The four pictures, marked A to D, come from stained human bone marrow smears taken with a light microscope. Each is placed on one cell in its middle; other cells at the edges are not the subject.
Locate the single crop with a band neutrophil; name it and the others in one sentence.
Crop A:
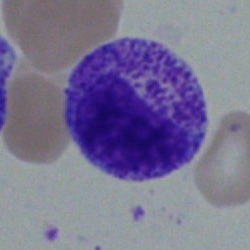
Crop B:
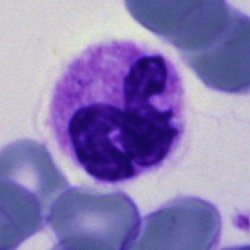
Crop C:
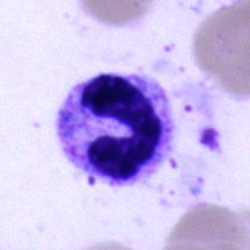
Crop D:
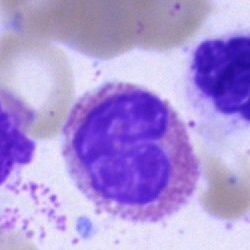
Crop C shows a band neutrophil in its middle, while crop A is a myelocyte, crop B is a segmented neutrophil and crop D is an eosinophil.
